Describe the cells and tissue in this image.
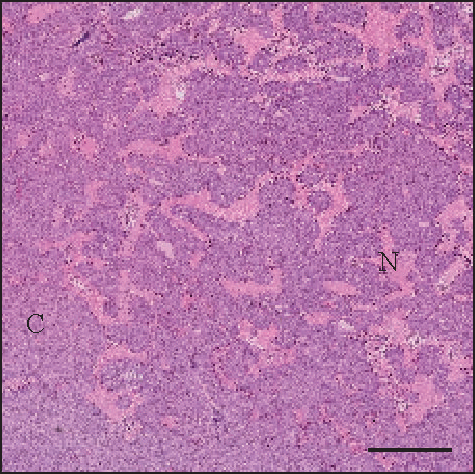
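This low-magnification section shows a tumour made largely of cancer cells, with a necrotic area. Most of the field is filled with densely cellular purple tissue with crowded nuclei arranged in solid sheets. Winding pink, eosin-rich strands and patches run through the cellular sheets and create a reticulated pattern. Toward the right side, pinker regions with fewer nuclei correspond to the marked necrotic area.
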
